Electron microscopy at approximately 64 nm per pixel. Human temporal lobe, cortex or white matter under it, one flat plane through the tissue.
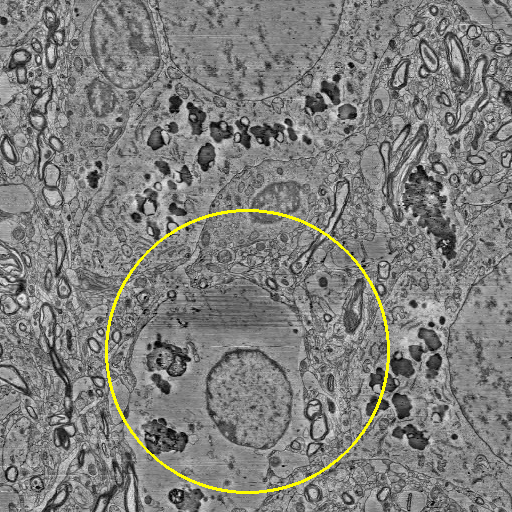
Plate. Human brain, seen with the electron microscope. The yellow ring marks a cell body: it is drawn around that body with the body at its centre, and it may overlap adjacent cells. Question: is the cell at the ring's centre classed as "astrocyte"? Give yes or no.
yes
